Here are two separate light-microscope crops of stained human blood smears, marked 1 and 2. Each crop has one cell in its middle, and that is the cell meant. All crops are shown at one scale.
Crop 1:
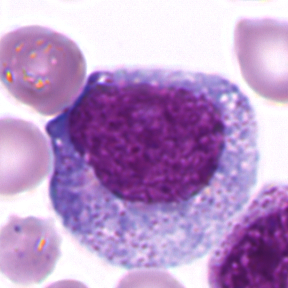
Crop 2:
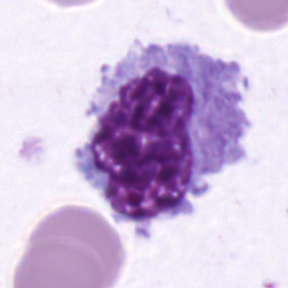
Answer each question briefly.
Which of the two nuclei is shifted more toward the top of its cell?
1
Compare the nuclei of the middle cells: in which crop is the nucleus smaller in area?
2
